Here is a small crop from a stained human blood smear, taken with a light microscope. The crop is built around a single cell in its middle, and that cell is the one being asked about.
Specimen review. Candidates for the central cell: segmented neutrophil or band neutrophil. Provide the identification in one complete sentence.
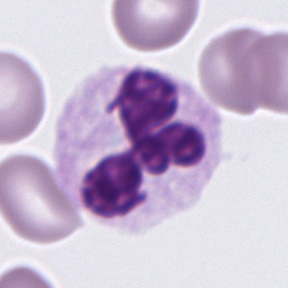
On this slide crop, the central cell is a segmented neutrophil.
